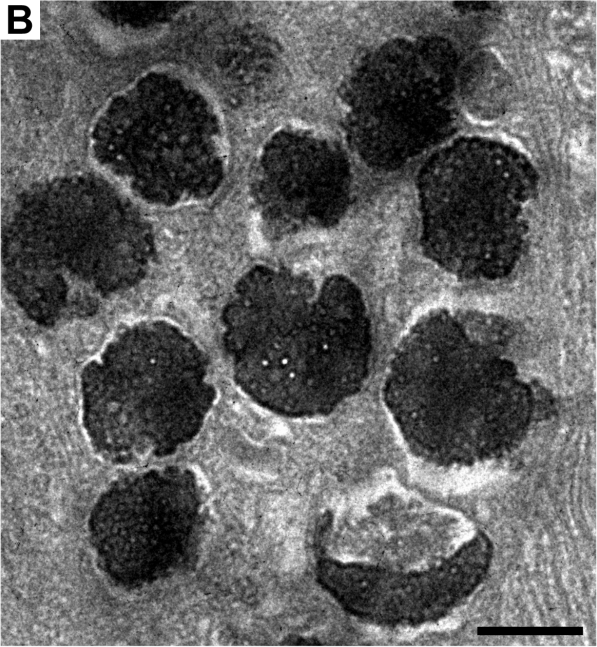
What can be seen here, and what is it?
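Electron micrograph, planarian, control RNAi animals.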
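This is a close view of pigment cup cells of the eye, filled with melanosomes. The melanosomes are rounded, slightly lobed granules whose contents are packed with dark, electron-dense material, each rimmed by a thin pale halo. To one side, the finely striated membranes of the photoreceptor rhabdomes can be seen.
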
